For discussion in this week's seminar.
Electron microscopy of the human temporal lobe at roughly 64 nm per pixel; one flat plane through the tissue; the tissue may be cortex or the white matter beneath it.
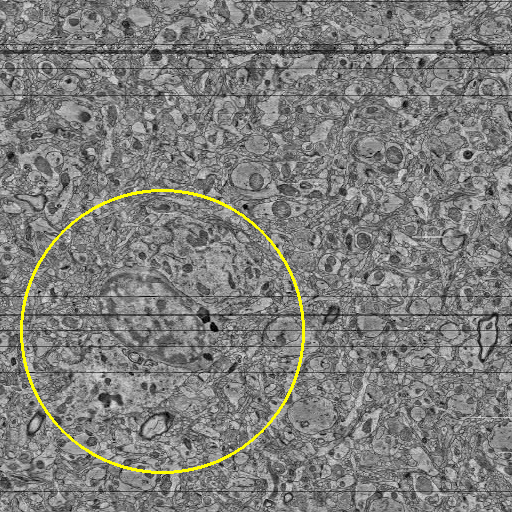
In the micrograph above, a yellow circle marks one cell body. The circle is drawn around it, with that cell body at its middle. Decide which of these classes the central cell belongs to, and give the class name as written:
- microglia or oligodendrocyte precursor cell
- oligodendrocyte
oligodendrocyte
